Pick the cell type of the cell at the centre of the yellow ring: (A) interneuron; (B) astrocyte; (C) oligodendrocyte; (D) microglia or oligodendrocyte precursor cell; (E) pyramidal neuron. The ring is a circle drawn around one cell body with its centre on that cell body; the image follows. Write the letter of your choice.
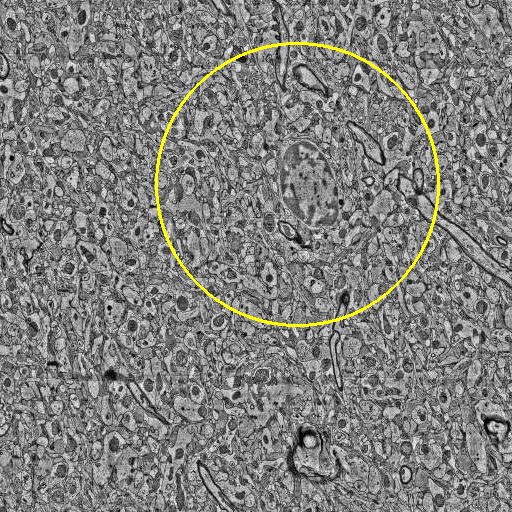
D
